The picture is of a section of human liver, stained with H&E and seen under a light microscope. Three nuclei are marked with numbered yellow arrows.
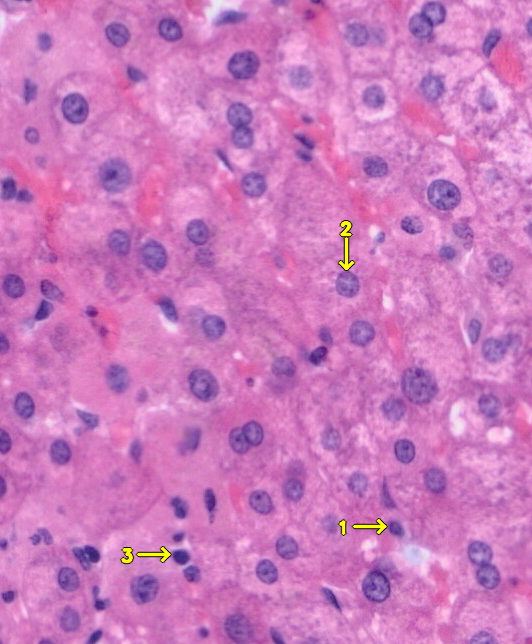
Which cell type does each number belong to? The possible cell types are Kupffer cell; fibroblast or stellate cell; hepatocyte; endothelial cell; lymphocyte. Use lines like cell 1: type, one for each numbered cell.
cell 1: lymphocyte
cell 2: hepatocyte
cell 3: lymphocyte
